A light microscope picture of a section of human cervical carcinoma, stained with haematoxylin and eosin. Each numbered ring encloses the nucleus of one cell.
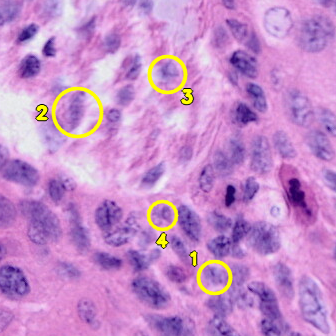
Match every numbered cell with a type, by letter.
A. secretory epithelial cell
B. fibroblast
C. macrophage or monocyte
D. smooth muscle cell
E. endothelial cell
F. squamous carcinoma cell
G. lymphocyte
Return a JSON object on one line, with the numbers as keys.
{"1": "F", "2": "B", "3": "B", "4": "F"}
